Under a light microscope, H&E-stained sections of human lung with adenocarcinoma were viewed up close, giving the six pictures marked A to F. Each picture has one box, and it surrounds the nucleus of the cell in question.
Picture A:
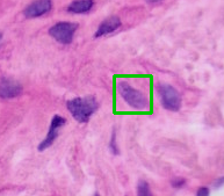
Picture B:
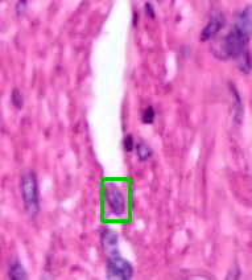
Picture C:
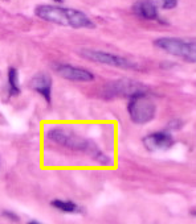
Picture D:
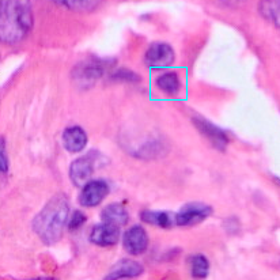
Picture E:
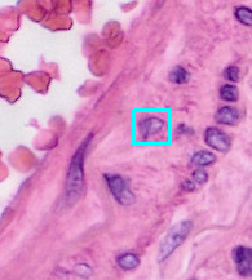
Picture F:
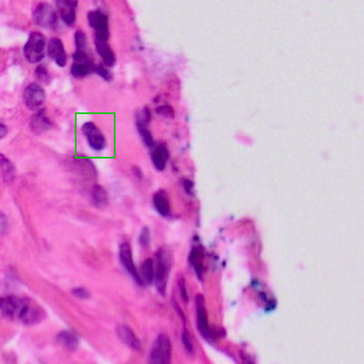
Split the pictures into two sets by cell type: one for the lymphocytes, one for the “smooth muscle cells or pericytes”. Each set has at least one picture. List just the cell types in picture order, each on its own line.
smooth muscle cell or pericyte
smooth muscle cell or pericyte
smooth muscle cell or pericyte
lymphocyte
smooth muscle cell or pericyte
lymphocyte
